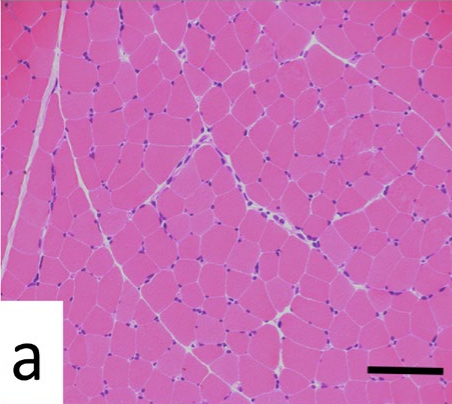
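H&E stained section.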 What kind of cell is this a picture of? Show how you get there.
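Closely packed polygonal pink profiles cut in cross-section. Small dark purple nuclei sit at the edges of the profiles. Profiles are grouped into bundles separated by thin pale septa. The answer: muscle fiber.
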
